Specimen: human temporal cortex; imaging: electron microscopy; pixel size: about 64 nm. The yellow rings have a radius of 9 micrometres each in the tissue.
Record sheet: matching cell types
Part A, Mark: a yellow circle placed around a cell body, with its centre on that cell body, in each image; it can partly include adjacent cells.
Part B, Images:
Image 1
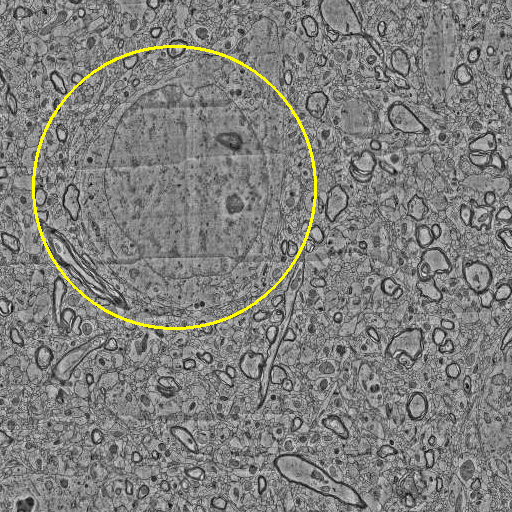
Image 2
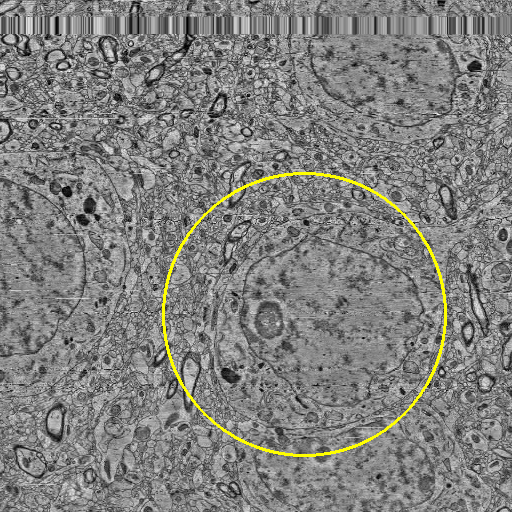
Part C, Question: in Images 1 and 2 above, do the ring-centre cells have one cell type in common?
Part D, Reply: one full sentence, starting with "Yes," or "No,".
Yes, the ring-centre cells of Image 1 and Image 2 are both of a single cell type.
